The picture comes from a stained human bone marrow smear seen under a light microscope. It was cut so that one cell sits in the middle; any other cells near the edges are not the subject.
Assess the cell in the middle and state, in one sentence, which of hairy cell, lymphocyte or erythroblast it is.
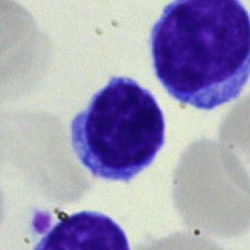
Here the centrally located cell is a lymphocyte.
